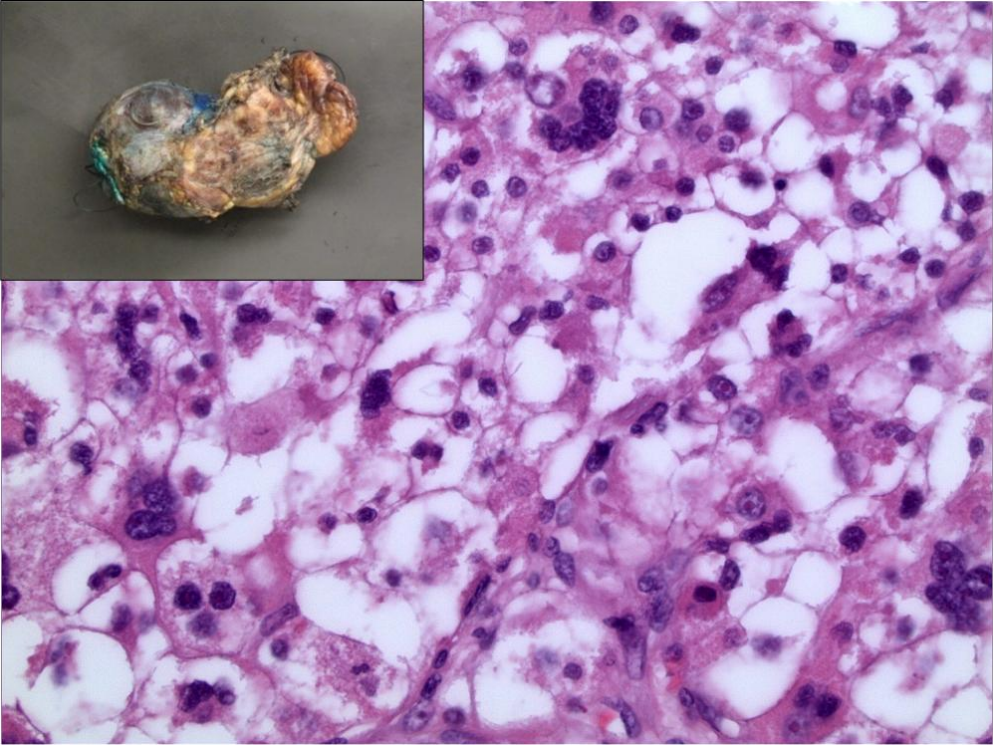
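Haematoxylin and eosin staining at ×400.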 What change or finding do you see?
scattered marked nuclear pleomorphism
